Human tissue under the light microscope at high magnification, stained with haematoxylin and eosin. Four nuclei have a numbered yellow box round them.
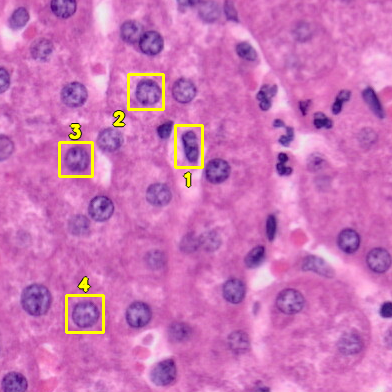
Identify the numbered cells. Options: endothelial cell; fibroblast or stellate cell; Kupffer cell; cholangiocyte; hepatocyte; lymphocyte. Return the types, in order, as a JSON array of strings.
["Kupffer cell", "hepatocyte", "hepatocyte", "hepatocyte"]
